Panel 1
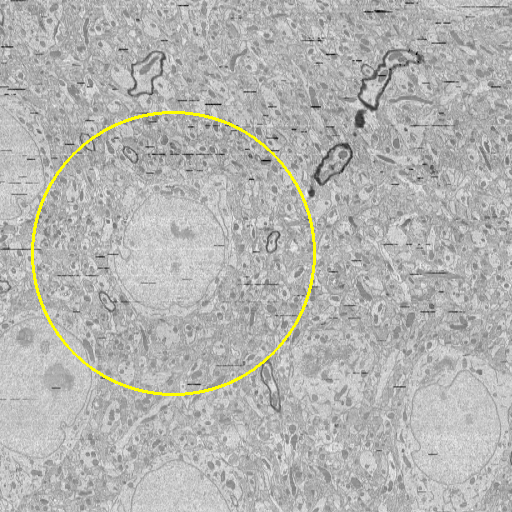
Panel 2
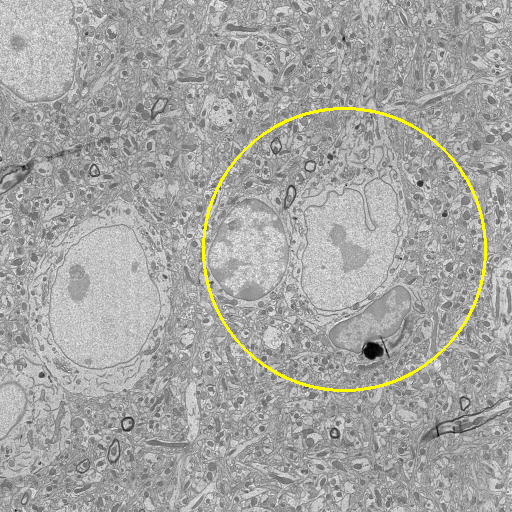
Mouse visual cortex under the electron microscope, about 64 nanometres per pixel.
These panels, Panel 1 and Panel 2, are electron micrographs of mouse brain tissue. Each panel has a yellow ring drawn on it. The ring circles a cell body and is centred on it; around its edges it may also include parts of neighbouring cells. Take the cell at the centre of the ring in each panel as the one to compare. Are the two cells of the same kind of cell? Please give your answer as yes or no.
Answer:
yes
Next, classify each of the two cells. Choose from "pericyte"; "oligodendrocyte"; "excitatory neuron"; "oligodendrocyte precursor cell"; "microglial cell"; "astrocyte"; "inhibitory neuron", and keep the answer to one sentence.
Each of the ringed cells, first and second, is an inhibitory neuron.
